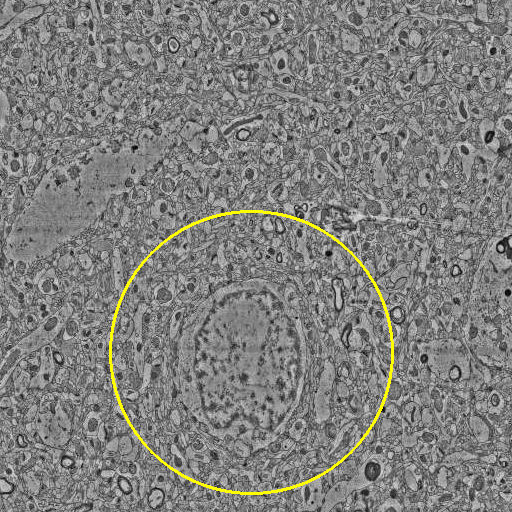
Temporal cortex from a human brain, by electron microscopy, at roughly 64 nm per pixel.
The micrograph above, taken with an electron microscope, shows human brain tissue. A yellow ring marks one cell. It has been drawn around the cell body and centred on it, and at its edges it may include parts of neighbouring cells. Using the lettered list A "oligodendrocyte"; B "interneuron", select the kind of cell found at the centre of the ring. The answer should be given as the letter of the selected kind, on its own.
B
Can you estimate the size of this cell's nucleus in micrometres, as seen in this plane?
Approximately 9 by 7 micrometers in this plane.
